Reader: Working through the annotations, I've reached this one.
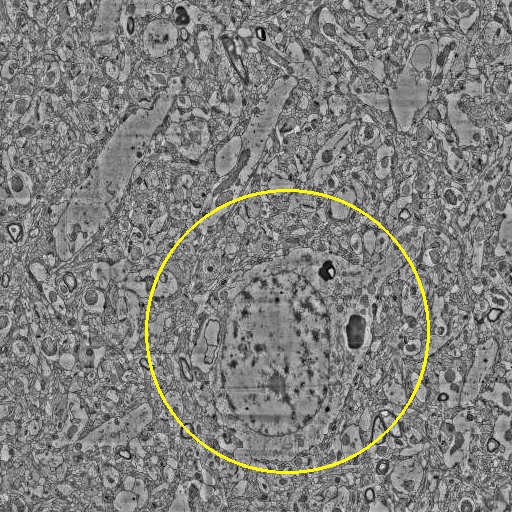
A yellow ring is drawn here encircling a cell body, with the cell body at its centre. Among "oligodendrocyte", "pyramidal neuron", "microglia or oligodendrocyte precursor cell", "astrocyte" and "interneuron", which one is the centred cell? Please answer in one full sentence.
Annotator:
The cell body at the centre of the yellow ring in this image belongs to an interneuron.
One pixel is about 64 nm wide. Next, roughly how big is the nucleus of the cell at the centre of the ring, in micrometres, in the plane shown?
In this plane the nucleus measures roughly 9 by 7 micrometers.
